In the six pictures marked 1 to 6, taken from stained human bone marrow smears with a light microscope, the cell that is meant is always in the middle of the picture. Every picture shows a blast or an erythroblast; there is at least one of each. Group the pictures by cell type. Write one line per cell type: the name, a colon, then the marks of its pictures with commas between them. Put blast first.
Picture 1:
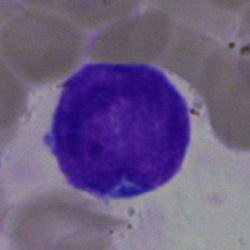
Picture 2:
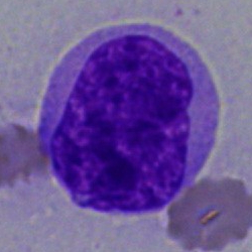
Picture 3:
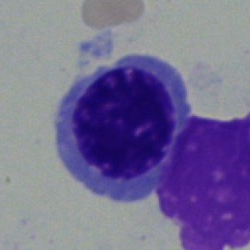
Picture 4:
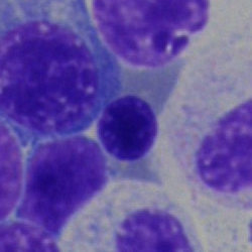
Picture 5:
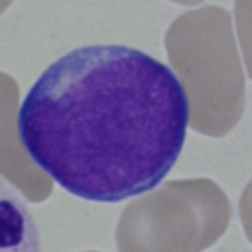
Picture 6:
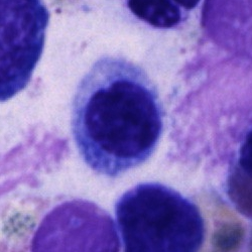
blast: 1, 2, 5
erythroblast: 3, 4, 6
